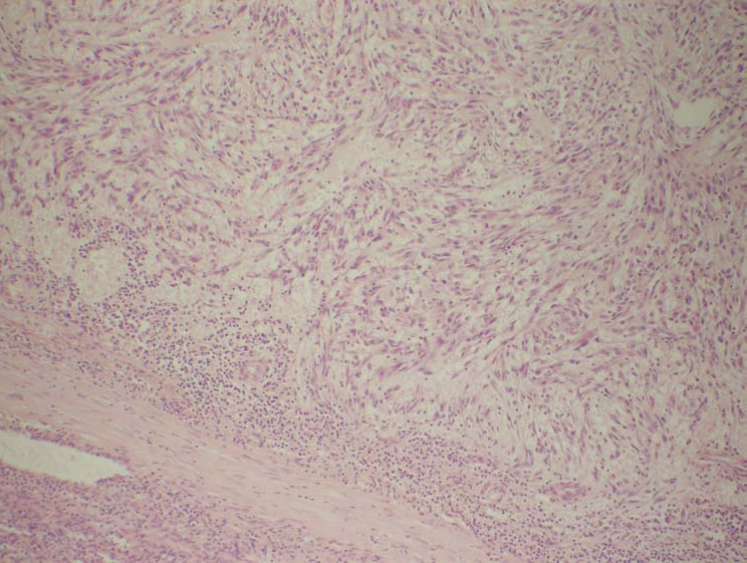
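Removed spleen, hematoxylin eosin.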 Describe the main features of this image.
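Most of the field is taken up by spindle cells with elongated, tapered purple nuclei. They are arranged in interlacing, sweeping bundles that run in different directions. Between these cells the background is pale and loose, with clear spaces, suggesting oedema of the stroma. Along the lower part of the field, a band of densely crowded small, round, dark nuclei marks a lymphocytic infiltrate. Beneath it lies a strip of pink fibrous tissue containing an empty vascular space. No areas of necrosis are evident.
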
